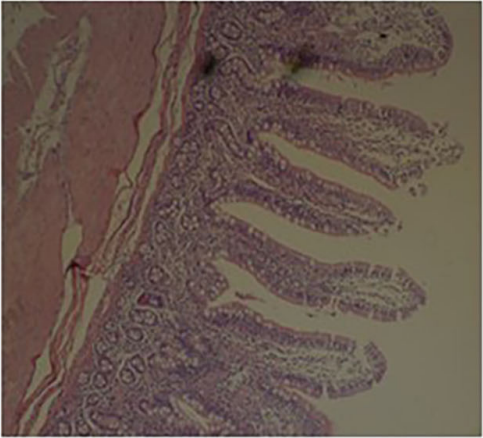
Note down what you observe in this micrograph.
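This is a section of small-intestinal mucosa stained with hematoxylin and eosin, showing long, slender villi that project side by side into the pale lumen. Each villus is covered by a single row of tall columnar epithelial cells whose purple nuclei line up near the base of the cells, around a paler pink core of connective tissue. At the base of the villi, closely packed rounded and tubular crypt profiles are seen in cross and oblique section within the mucosa.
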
